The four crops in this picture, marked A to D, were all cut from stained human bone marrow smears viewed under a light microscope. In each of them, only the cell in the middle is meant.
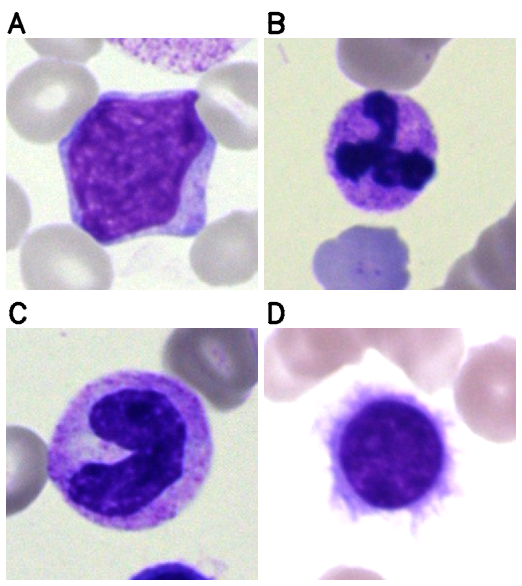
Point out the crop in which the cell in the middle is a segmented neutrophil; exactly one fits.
B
